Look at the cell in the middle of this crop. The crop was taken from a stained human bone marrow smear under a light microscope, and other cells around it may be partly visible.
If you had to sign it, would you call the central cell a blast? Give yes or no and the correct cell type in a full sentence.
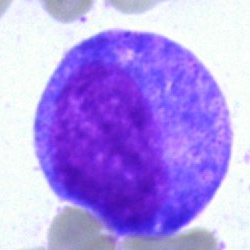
No, the cell located centrally is a promyelocyte rather than a blast.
